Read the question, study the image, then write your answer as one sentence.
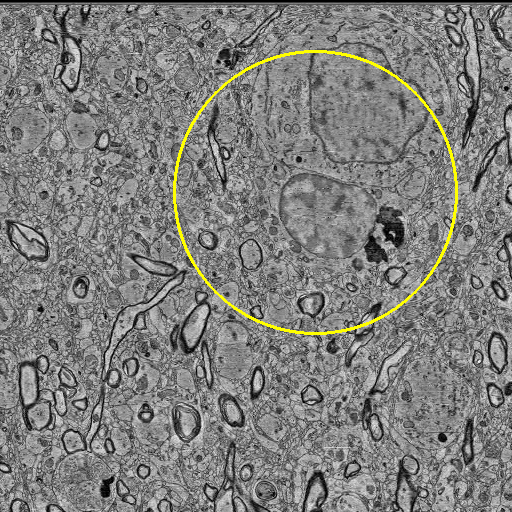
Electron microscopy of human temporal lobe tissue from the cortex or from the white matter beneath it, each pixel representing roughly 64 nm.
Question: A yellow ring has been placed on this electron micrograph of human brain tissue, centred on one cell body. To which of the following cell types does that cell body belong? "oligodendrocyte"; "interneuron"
That cell body belongs to an oligodendrocyte.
